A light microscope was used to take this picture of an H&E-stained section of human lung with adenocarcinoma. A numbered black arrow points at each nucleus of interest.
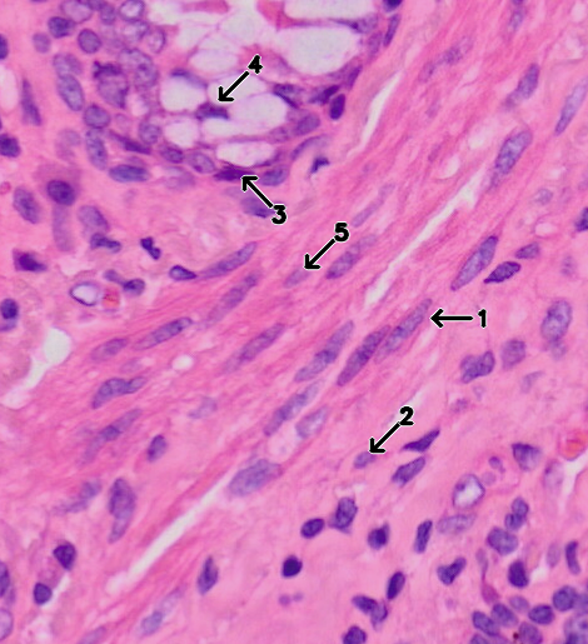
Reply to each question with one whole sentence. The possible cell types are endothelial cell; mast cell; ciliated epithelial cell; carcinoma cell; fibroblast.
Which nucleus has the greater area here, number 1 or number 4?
At about 1.5 times the area of nucleus 4, nucleus 1 is the larger of the two.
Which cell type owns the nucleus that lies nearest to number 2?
Number 2 lies closest to the nucleus of a fibroblast.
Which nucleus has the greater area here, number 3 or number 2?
Nucleus 3 is larger, with an area about 1.5 times that of nucleus 2.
